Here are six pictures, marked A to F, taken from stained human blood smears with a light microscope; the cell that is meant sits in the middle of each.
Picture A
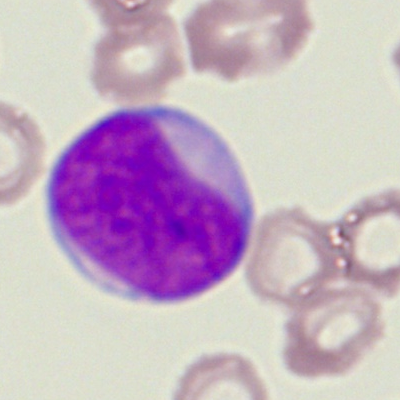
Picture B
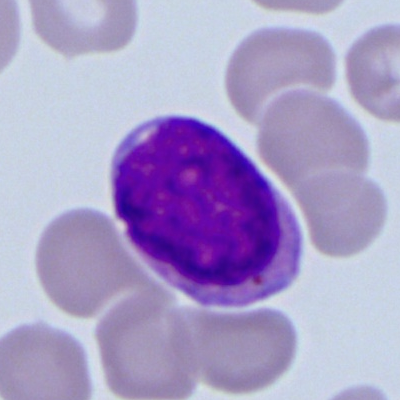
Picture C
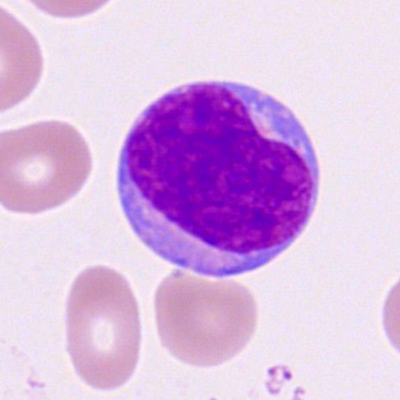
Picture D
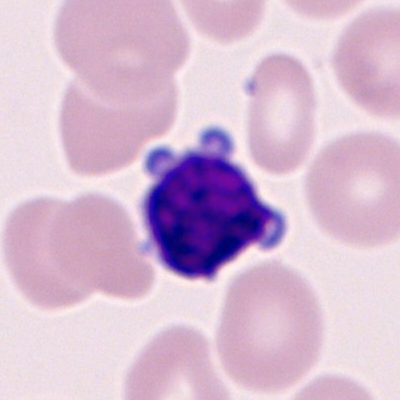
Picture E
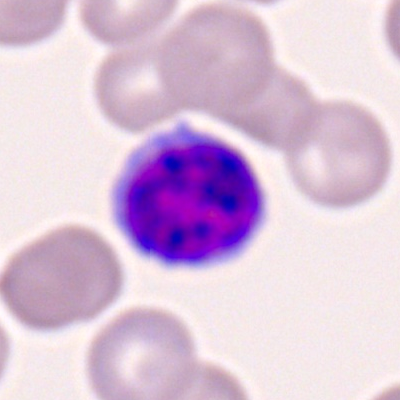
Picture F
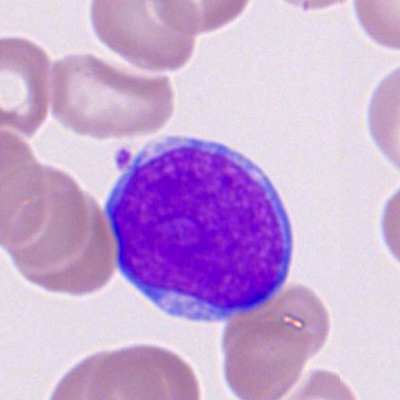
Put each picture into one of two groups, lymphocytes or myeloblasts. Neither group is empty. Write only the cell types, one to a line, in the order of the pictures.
myeloblast
myeloblast
myeloblast
lymphocyte
lymphocyte
myeloblast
